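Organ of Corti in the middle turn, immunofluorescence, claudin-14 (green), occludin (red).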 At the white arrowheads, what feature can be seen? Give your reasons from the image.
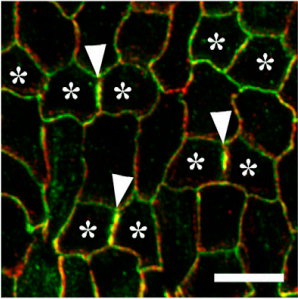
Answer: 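At these borders the two small cells touch directly with no other cell between them.
Homotypic interfaces between attached outer hair cells.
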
